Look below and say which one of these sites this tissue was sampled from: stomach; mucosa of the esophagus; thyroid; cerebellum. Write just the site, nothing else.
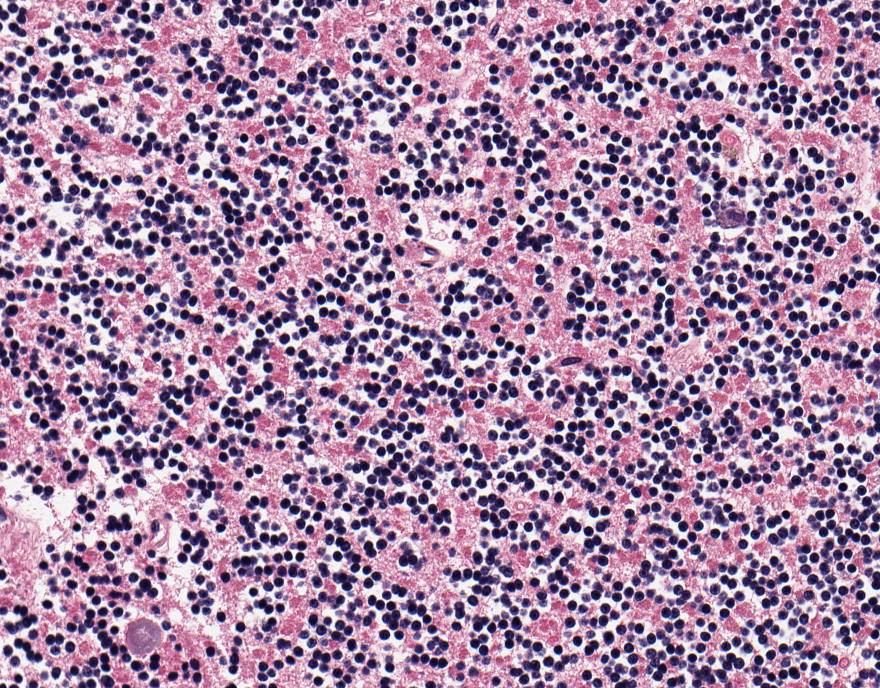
cerebellum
